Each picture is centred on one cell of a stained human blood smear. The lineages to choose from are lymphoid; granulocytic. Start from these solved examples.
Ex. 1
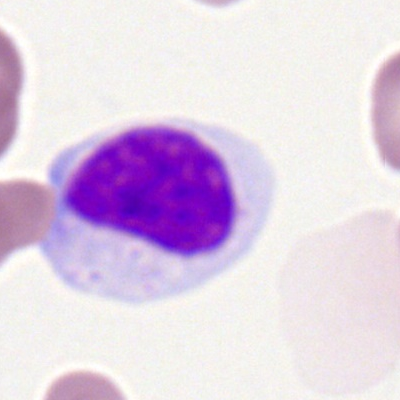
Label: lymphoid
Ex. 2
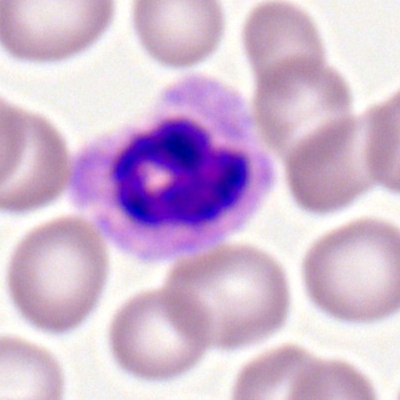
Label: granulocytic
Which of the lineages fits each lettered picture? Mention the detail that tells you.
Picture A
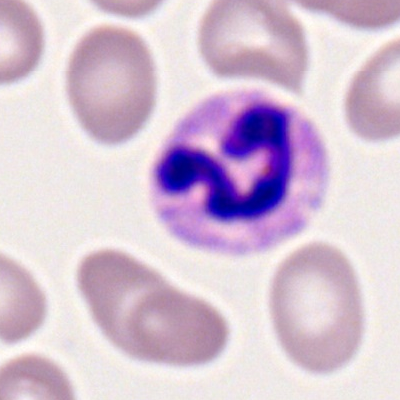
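granulocytic. The nucleus is a curved, twisting strand with narrowed parts along its length.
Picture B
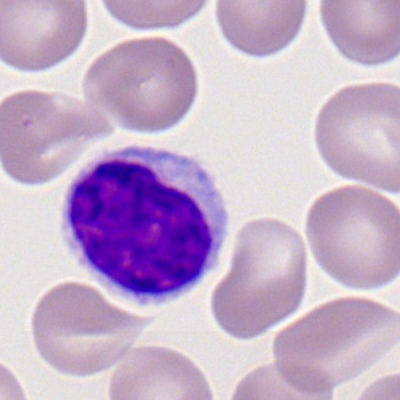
lymphoid. The nucleus fills most of the cell.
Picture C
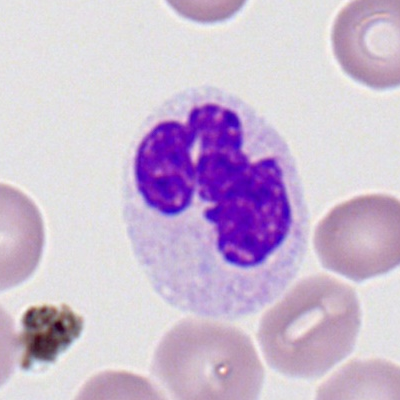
granulocytic. The cytoplasm is plentiful and pale lilac-pink.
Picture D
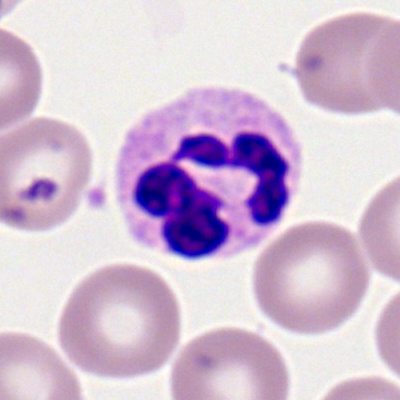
granulocytic. The cytoplasm is abundant and pale pink-lilac.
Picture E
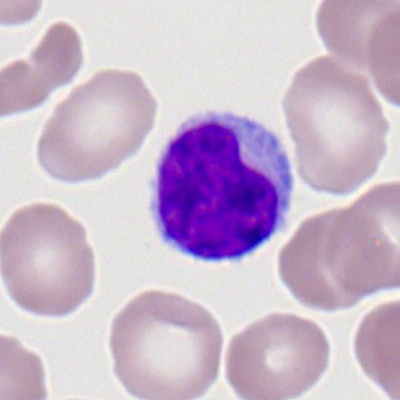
lymphoid. The cytoplasm is scant, forming a thin rim around the nucleus.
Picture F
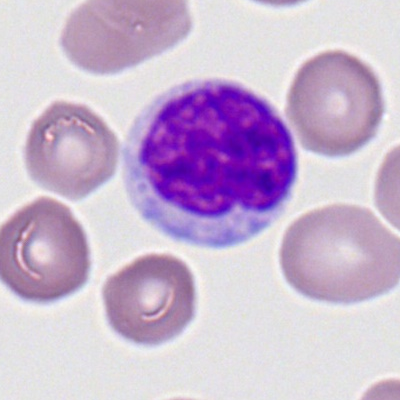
lymphoid. The nucleus fills most of the cell.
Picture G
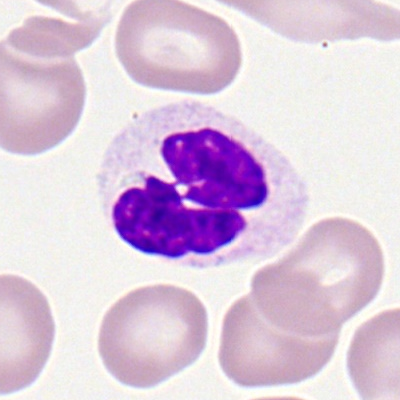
granulocytic. The nucleus is split into two large lobes.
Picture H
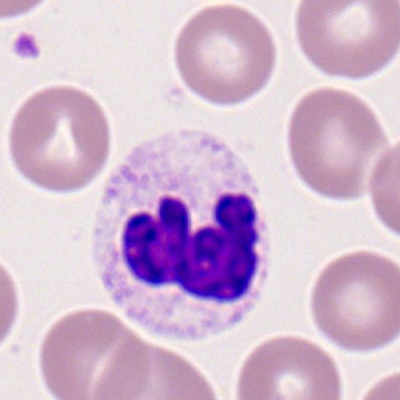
granulocytic. The cytoplasm is plentiful and pale pinkish-lilac.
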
